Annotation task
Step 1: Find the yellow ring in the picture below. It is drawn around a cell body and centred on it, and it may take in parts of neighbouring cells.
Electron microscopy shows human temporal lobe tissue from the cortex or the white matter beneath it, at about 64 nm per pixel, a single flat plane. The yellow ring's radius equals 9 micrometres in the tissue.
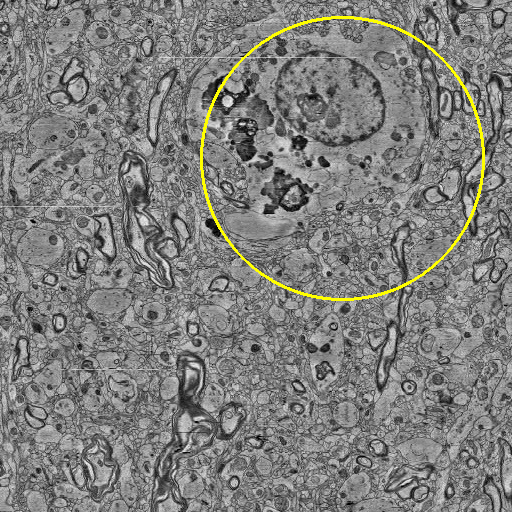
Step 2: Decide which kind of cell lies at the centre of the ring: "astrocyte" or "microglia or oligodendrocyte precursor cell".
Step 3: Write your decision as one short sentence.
The kind of cell at the ring's centre is an astrocyte.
